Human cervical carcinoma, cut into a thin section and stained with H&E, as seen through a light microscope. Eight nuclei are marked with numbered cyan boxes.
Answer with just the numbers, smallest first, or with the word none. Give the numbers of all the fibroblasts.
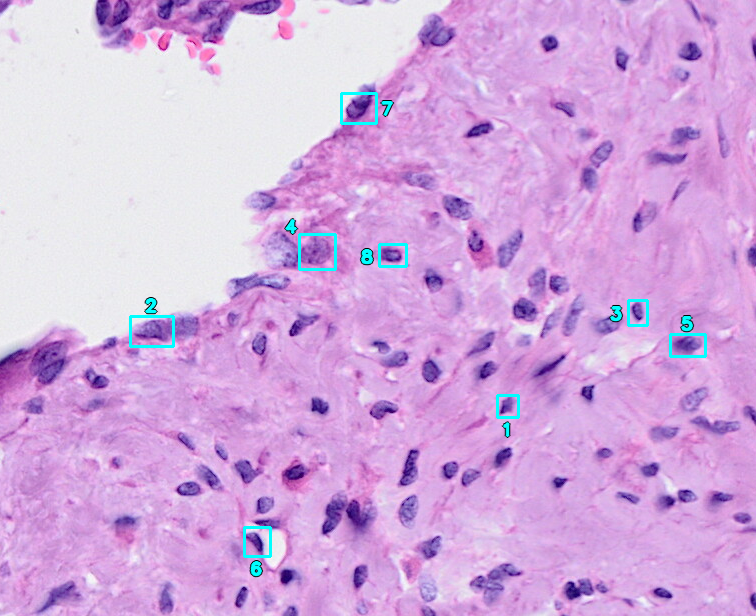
1, 3, 5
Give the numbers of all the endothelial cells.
2, 4, 6, 7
